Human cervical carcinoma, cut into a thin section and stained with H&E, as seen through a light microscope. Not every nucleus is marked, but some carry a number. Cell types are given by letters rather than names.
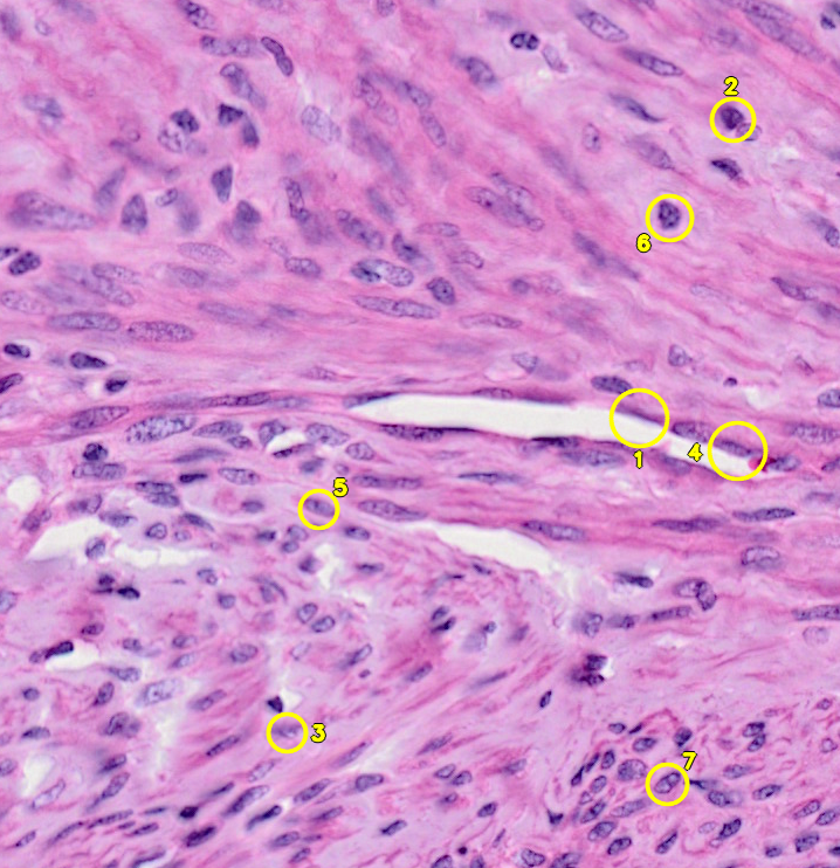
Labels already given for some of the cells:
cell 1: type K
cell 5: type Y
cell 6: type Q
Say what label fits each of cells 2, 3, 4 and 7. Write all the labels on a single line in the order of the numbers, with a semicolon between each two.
type Q; type Y; type K; type Y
